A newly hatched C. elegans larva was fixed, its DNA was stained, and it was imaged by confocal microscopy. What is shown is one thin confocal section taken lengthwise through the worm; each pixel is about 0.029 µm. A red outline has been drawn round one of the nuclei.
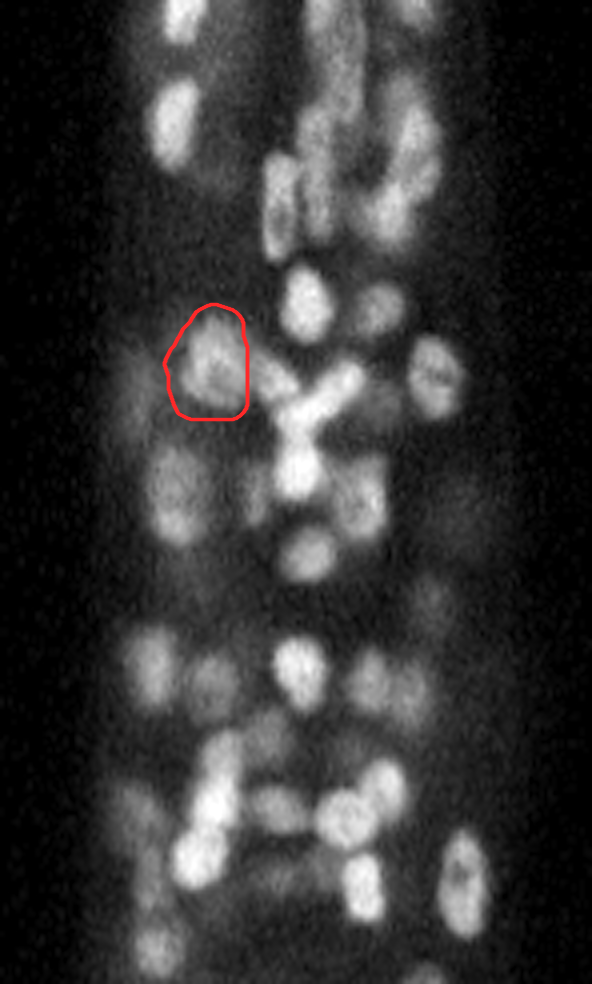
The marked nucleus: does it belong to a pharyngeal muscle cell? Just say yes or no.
no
